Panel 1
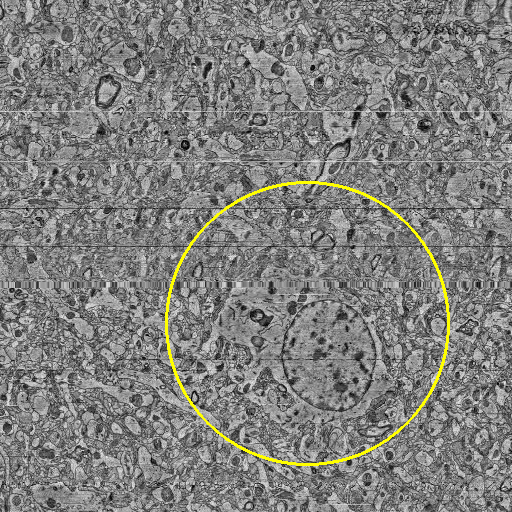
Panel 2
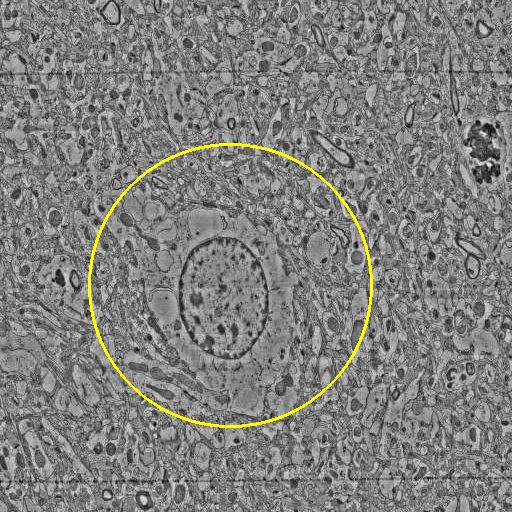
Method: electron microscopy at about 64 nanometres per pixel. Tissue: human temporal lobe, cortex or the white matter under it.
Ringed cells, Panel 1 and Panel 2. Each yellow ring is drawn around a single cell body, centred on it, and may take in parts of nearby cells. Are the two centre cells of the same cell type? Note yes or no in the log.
yes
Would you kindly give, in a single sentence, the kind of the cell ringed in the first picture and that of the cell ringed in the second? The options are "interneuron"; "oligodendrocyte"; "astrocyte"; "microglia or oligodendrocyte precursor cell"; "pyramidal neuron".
Both pictures show an astrocyte at the centre of the ring.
